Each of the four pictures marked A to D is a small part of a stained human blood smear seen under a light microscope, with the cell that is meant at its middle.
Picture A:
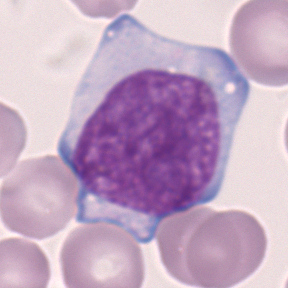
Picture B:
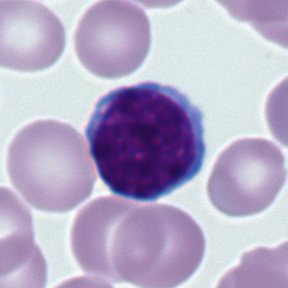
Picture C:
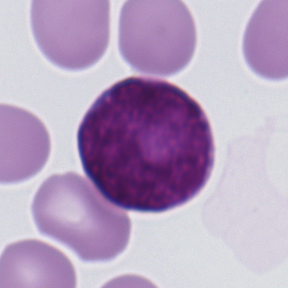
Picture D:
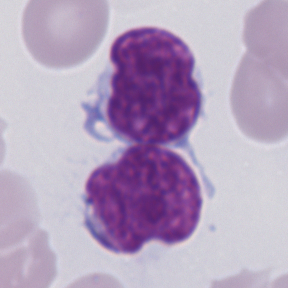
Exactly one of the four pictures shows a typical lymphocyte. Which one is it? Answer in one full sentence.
Picture B shows the typical lymphocyte.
